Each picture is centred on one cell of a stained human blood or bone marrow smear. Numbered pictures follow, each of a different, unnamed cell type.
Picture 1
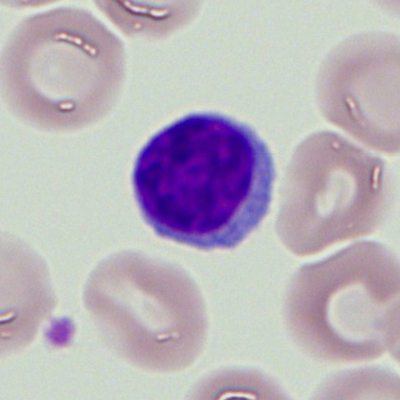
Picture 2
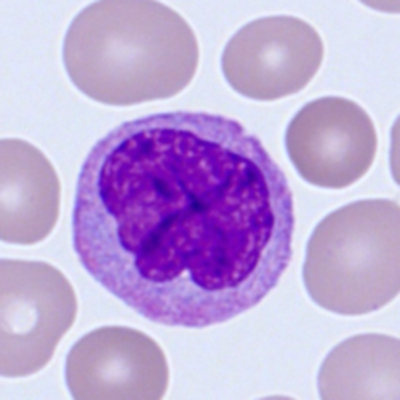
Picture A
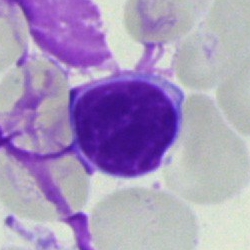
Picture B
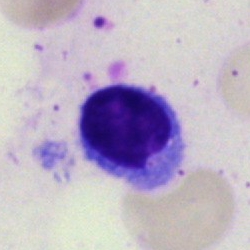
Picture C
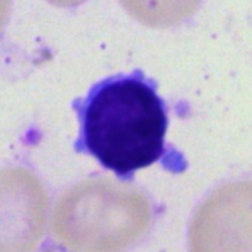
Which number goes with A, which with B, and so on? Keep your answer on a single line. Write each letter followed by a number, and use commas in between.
A 1, B 1, C 1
